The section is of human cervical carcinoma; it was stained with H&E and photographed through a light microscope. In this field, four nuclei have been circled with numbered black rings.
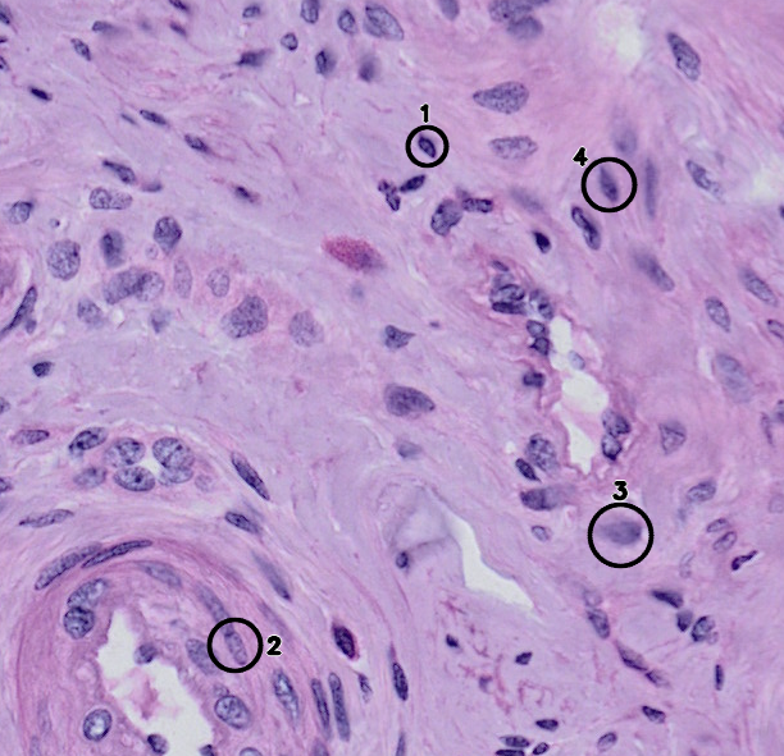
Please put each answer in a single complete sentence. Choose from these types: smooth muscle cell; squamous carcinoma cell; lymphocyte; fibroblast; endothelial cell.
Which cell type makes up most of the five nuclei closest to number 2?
Around number 2, most of the five nearest nuclei are those of smooth muscle cells.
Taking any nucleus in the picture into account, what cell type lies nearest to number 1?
Number 1 lies closest to the nucleus of a fibroblast.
